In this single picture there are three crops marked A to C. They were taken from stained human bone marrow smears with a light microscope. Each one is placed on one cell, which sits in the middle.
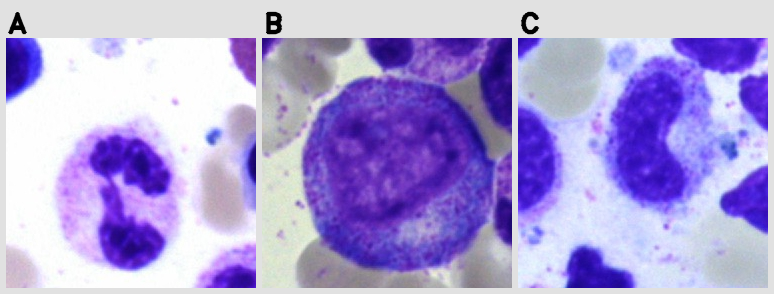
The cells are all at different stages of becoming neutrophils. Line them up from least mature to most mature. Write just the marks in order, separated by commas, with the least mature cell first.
B, C, A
